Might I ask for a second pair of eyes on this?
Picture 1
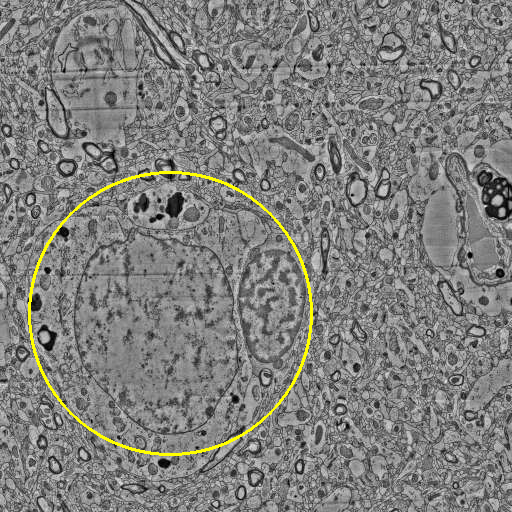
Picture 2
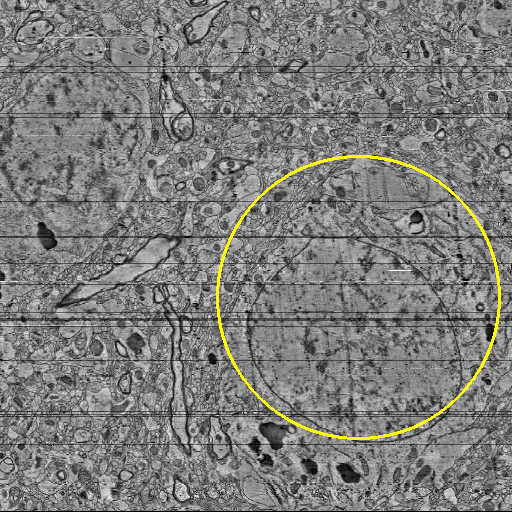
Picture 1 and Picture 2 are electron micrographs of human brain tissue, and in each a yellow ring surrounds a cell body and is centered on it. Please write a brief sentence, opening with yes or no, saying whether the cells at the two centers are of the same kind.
Yes, the cells are of the same kind.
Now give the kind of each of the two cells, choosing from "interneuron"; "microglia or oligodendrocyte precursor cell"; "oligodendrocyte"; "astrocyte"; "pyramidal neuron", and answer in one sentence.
Each of the two cells is a pyramidal neuron.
